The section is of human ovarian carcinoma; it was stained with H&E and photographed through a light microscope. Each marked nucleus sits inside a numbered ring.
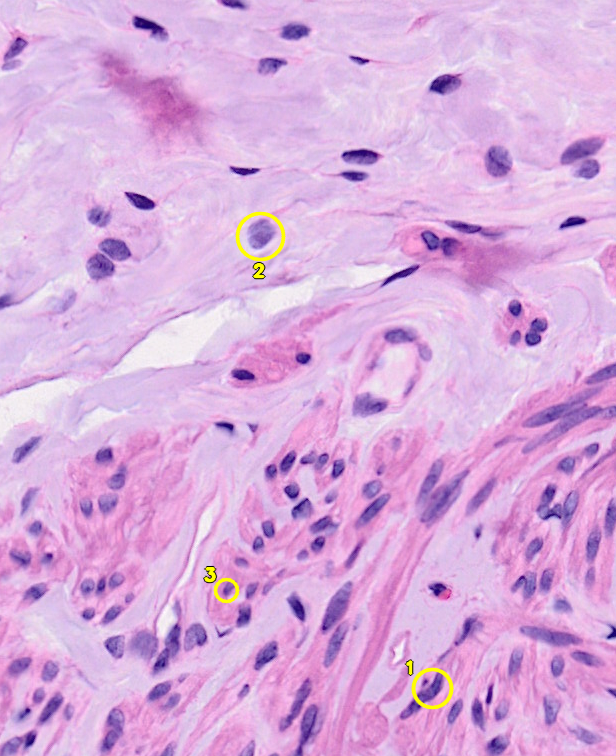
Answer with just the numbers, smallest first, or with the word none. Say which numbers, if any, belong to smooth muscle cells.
1, 3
